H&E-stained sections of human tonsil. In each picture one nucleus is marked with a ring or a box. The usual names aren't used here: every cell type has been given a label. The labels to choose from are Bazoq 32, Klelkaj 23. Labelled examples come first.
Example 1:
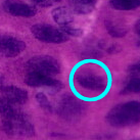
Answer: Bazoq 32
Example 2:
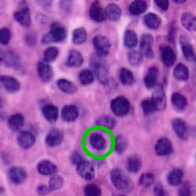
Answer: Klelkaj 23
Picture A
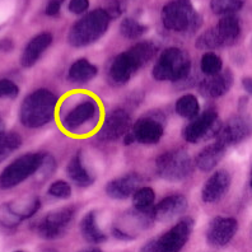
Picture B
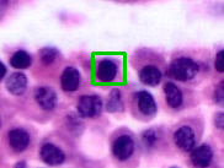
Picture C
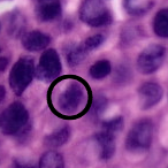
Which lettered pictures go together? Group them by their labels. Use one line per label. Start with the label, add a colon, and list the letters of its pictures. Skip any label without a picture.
Bazoq 32: A, C
Klelkaj 23: B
